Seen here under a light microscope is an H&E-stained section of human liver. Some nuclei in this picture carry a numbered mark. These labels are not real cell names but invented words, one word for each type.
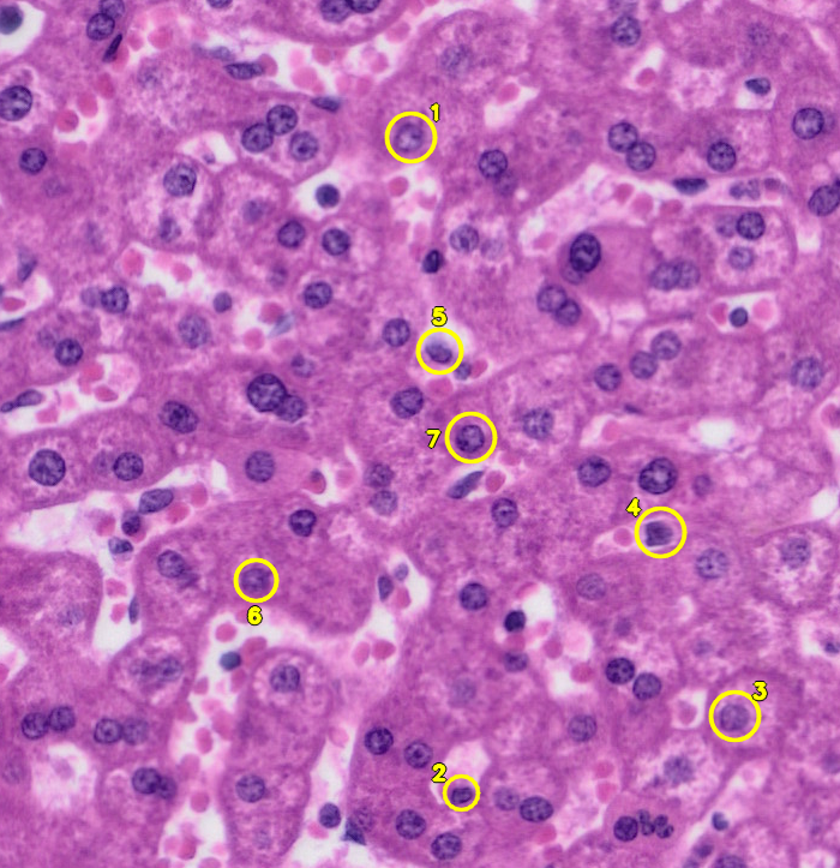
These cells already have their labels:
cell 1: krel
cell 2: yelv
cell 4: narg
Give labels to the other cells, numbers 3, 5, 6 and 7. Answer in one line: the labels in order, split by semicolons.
krel; yelv; krel; krel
